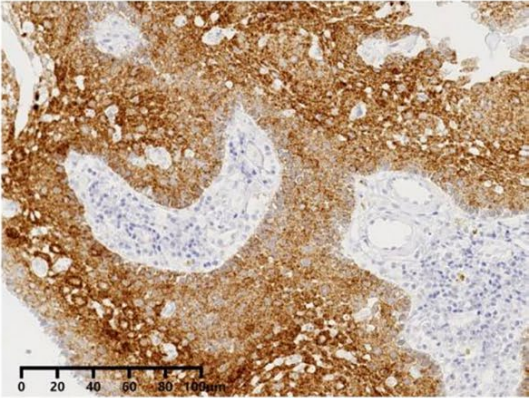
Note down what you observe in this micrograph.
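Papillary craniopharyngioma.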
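Tumor epithelium is shown in broad sheets whose cells are diffusely brown throughout the cytoplasm. The stained sheets surround pale, loose connective tissue cores containing small blue nuclei and thin-walled vessels. The cores are unstained and stand out against the brown epithelium. Individual tumor cells are rounded to polygonal and closely packed, with some clear vacuolated cells near the sheet margins.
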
